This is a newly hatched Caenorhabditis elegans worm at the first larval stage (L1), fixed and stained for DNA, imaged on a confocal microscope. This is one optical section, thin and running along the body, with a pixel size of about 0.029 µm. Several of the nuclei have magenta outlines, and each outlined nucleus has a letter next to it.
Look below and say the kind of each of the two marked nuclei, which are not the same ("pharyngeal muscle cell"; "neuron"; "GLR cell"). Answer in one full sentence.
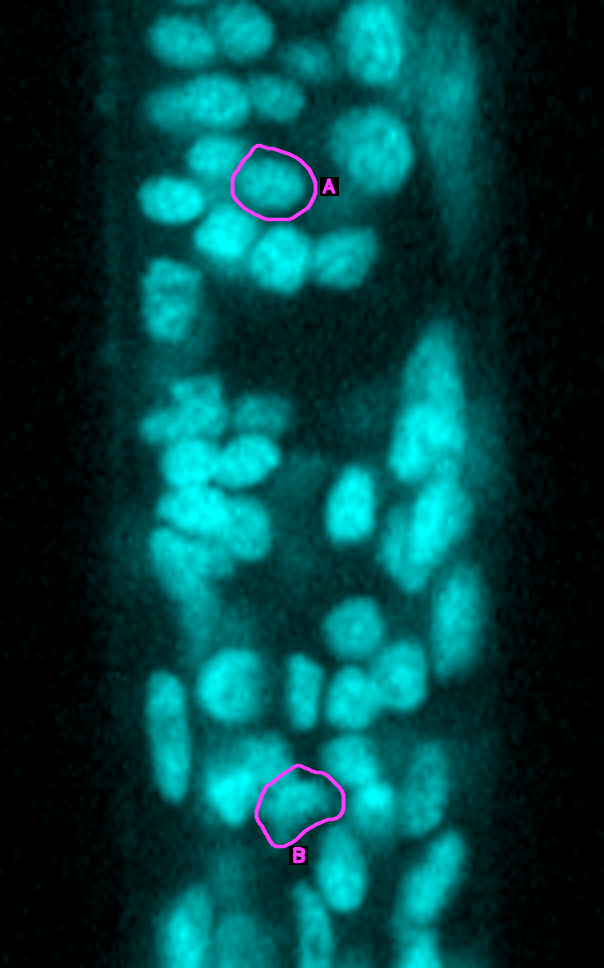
A belongs to a neuron and B to a pharyngeal muscle cell.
